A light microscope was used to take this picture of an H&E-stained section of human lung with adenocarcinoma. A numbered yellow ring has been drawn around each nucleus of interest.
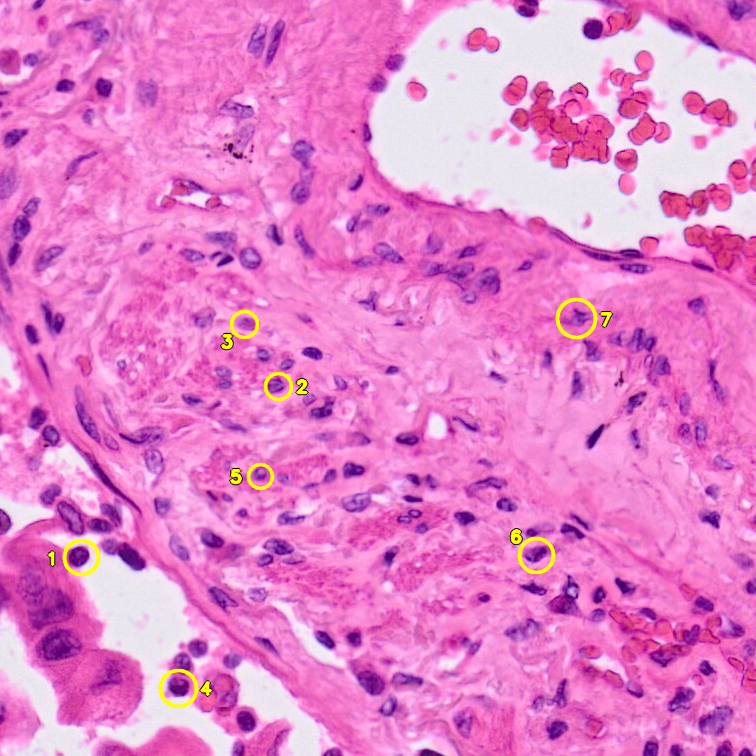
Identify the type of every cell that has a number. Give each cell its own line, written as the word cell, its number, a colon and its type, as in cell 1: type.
cell 1: lymphocyte
cell 2: smooth muscle cell or pericyte
cell 3: smooth muscle cell or pericyte
cell 4: lymphocyte
cell 5: smooth muscle cell or pericyte
cell 6: plasma cell
cell 7: smooth muscle cell or pericyte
